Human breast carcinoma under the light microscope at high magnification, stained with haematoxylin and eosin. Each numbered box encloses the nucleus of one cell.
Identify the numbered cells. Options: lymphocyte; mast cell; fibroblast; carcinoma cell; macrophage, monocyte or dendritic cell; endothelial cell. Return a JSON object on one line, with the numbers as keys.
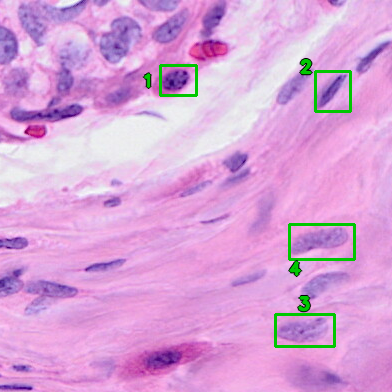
{"1": "mast cell", "2": "fibroblast", "3": "fibroblast", "4": "fibroblast"}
